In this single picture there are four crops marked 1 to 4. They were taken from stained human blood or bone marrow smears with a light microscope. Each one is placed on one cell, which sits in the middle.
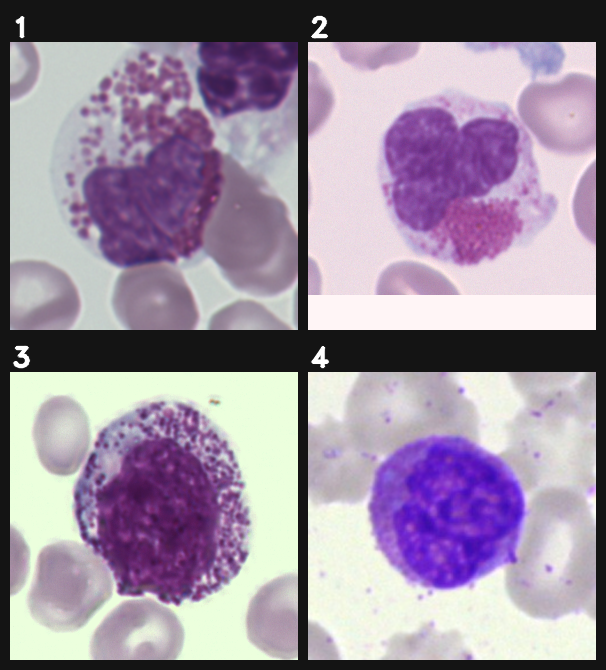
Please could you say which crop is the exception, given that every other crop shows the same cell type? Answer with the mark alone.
3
